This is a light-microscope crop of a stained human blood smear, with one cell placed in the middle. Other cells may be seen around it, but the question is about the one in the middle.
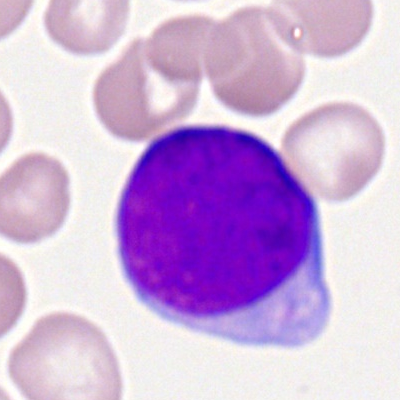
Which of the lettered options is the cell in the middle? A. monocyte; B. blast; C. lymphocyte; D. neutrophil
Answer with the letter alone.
B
